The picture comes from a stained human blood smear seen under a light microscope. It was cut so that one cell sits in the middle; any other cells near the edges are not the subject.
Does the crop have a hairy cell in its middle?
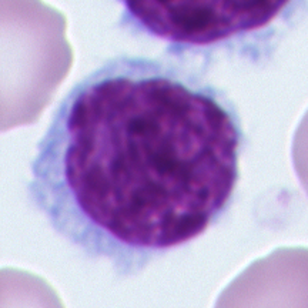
yes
